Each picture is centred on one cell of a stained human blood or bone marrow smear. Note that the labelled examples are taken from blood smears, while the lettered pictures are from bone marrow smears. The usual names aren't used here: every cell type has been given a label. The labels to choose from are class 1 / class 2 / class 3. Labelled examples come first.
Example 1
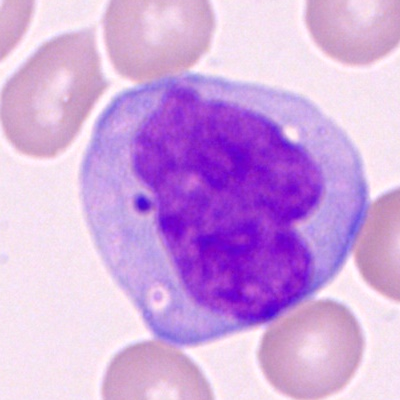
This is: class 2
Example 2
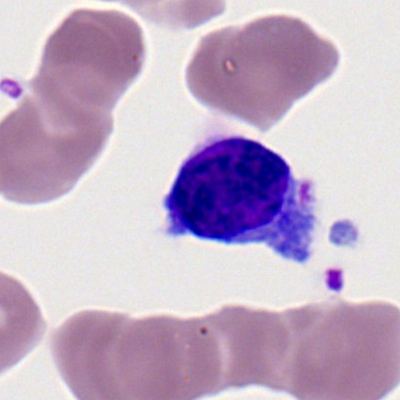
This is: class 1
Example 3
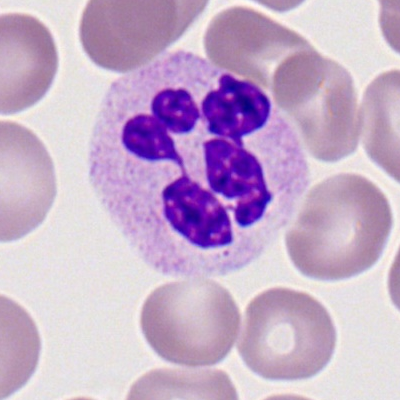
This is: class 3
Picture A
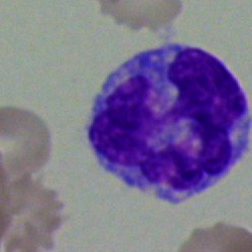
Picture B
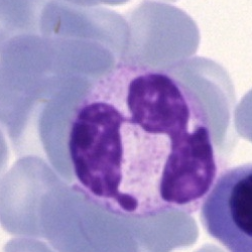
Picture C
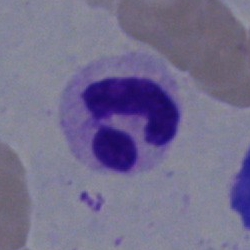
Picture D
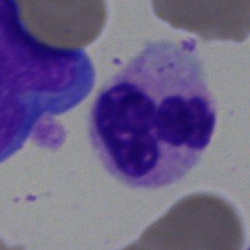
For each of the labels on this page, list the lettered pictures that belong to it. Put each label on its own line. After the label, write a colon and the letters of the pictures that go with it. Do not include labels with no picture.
class 2: A
class 3: B, C, D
